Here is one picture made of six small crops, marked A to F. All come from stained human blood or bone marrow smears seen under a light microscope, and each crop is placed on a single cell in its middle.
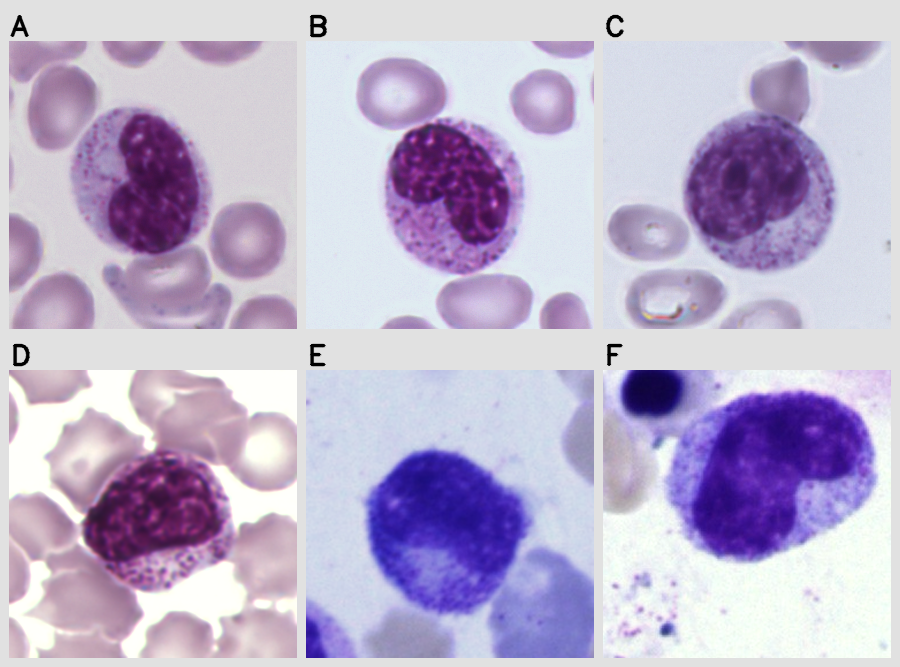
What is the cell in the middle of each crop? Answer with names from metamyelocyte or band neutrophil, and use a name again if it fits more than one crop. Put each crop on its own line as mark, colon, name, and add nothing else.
A: metamyelocyte
B: band neutrophil
C: metamyelocyte
D: metamyelocyte
E: metamyelocyte
F: metamyelocyte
